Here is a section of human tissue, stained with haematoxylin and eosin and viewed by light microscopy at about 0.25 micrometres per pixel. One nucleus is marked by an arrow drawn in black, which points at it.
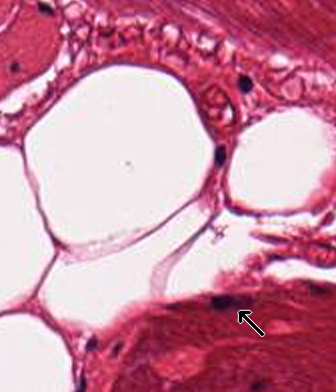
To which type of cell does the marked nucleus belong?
skeletal muscle fibre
